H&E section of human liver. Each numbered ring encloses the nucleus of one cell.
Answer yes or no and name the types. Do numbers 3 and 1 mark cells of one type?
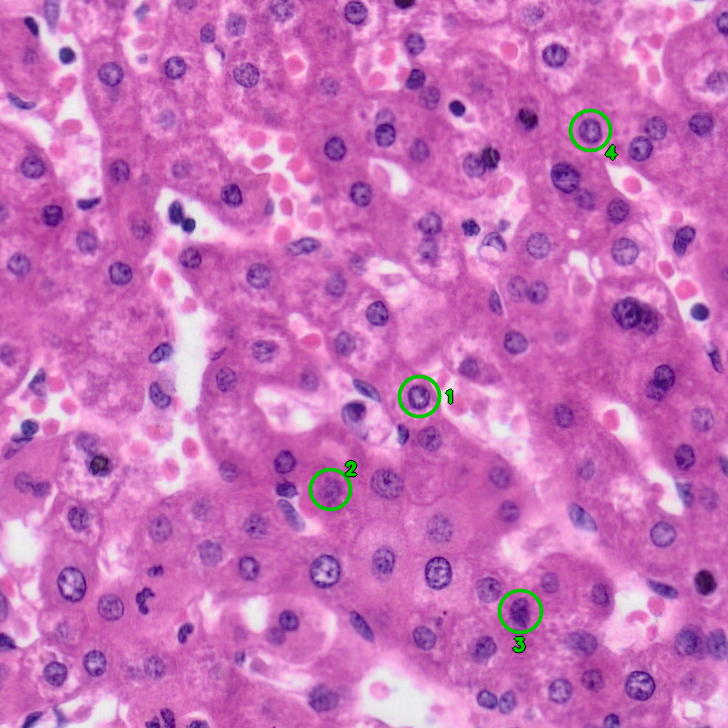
No, cell 3 is a fibroblast or stellate cell and cell 1 is a hepatocyte.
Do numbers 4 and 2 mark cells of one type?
Yes, both are hepatocytes.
